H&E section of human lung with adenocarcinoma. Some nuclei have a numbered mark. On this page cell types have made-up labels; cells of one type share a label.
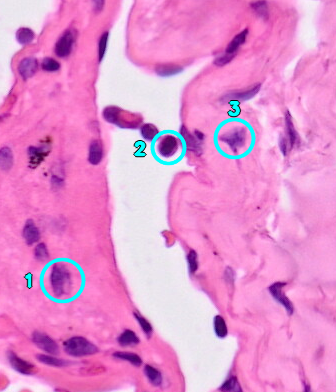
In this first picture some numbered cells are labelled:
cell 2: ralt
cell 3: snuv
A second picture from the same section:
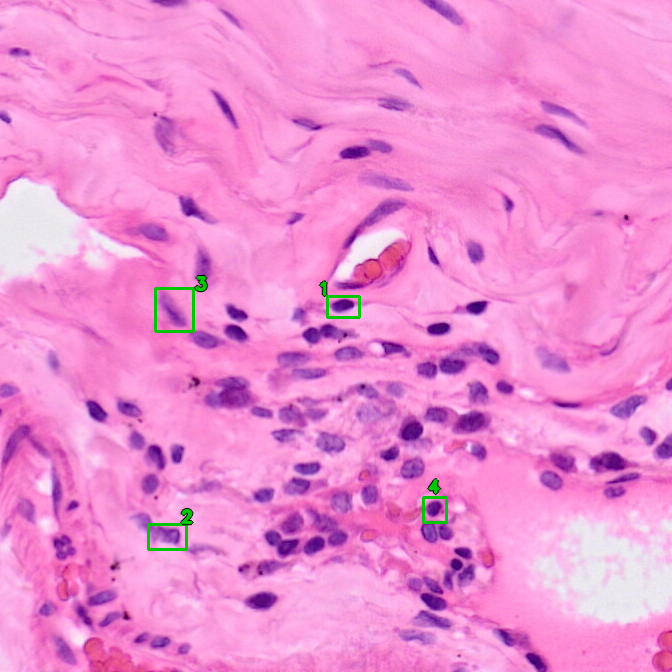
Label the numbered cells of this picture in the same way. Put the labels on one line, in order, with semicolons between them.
ralt; snuv; snuv; ralt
